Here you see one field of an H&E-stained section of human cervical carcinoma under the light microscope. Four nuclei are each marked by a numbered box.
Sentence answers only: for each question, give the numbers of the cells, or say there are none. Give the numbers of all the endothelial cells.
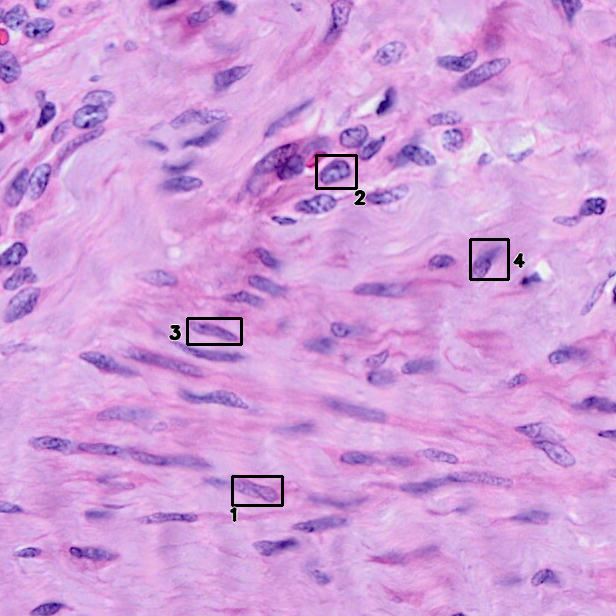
Cell 2 is the only one of the numbered cells that is an endothelial cell.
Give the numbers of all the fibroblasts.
Cell 4 is a fibroblast, and it is the only numbered cell that is.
